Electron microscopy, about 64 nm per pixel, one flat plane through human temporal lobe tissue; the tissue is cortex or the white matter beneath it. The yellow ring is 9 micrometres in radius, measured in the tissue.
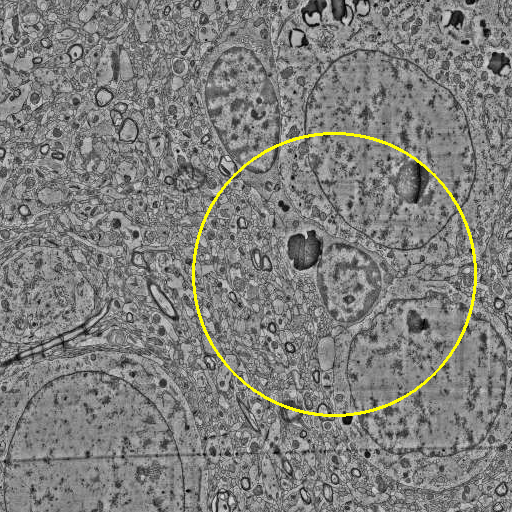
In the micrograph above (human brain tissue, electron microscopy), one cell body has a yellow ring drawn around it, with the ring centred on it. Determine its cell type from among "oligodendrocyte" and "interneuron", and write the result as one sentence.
The cell whose body is ringed is an oligodendrocyte.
